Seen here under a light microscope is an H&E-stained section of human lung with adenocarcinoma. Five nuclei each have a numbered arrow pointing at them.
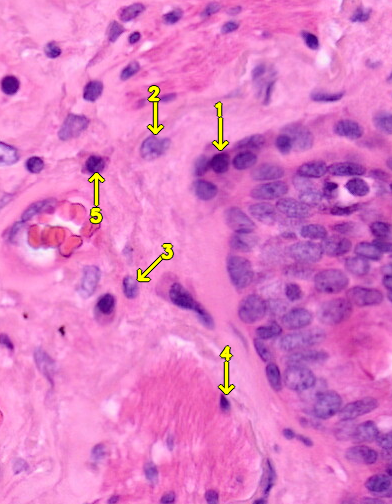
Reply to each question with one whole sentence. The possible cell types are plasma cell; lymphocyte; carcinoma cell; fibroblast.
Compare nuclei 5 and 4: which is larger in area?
The larger nucleus is 5, at roughly 2 times the area of 4.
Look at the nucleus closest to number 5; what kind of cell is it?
The nucleus nearest to number 5 is that of a fibroblast.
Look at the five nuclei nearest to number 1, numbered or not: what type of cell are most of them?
Of the five nuclei nearest to number 1, most belong to plasma cells.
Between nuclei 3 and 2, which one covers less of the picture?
It is nucleus 3; nucleus 2 has about 1.5 times its area.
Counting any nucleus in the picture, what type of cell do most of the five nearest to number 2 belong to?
Most of the five nuclei nearest to number 2 are those of plasma cells.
